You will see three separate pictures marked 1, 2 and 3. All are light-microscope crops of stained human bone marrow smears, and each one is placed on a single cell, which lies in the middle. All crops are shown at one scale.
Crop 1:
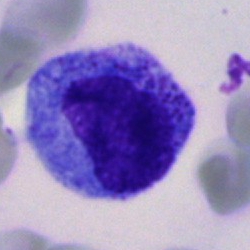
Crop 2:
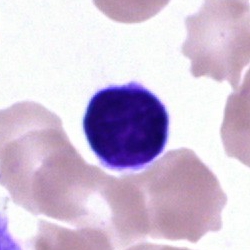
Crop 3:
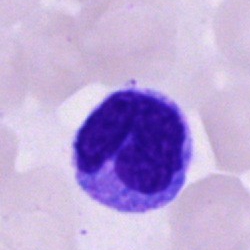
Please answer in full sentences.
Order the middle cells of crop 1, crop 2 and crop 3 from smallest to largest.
From the smallest up, the order is 2, 3, 1.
